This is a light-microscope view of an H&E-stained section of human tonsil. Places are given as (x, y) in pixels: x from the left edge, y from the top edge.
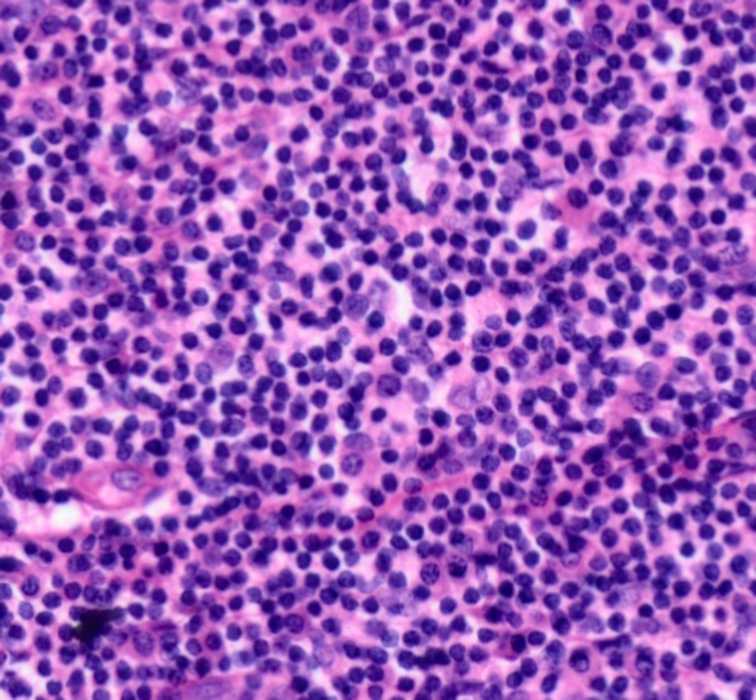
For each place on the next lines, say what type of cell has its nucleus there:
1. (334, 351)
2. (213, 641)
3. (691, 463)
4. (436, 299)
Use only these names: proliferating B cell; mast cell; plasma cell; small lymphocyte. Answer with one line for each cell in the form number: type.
1: small lymphocyte
2: plasma cell
3: small lymphocyte
4: small lymphocyte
